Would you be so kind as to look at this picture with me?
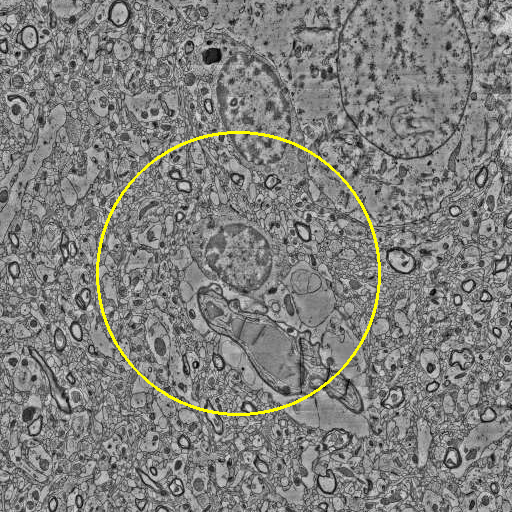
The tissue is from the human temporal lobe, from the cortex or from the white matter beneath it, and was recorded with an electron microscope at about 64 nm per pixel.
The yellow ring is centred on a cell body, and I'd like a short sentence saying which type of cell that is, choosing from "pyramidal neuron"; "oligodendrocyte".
The cell body in the ring belongs to an oligodendrocyte.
